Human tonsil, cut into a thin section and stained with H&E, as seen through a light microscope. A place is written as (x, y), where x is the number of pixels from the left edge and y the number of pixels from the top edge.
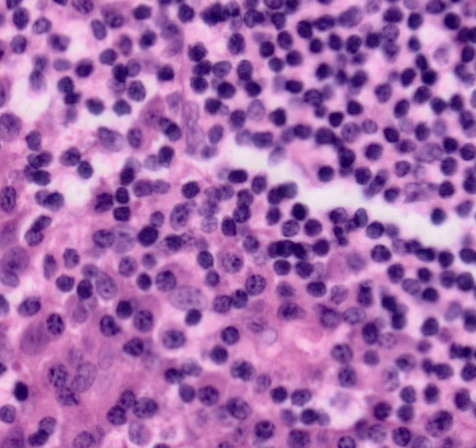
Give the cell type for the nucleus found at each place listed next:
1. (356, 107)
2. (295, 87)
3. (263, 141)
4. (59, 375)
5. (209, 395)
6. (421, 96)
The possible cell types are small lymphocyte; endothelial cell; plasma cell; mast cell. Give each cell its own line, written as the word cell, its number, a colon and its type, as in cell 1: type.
cell 1: small lymphocyte
cell 2: small lymphocyte
cell 3: small lymphocyte
cell 4: plasma cell
cell 5: plasma cell
cell 6: small lymphocyte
